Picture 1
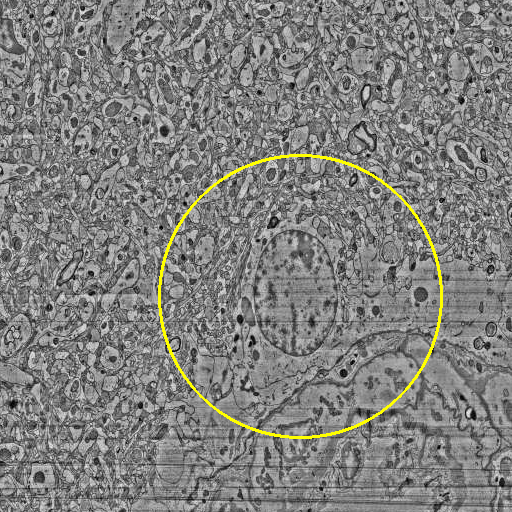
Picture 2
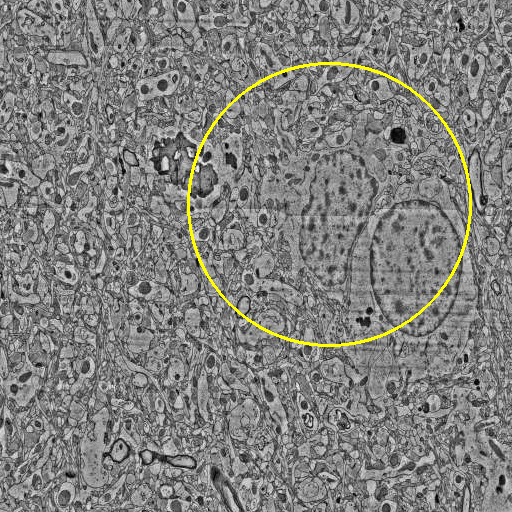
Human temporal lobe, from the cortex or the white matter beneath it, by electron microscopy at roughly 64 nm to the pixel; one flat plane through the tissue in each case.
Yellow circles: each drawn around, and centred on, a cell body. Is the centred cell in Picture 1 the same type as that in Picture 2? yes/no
yes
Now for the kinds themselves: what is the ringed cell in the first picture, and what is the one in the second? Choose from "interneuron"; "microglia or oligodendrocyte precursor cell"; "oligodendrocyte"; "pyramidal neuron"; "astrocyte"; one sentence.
Each of the two cells is an astrocyte.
